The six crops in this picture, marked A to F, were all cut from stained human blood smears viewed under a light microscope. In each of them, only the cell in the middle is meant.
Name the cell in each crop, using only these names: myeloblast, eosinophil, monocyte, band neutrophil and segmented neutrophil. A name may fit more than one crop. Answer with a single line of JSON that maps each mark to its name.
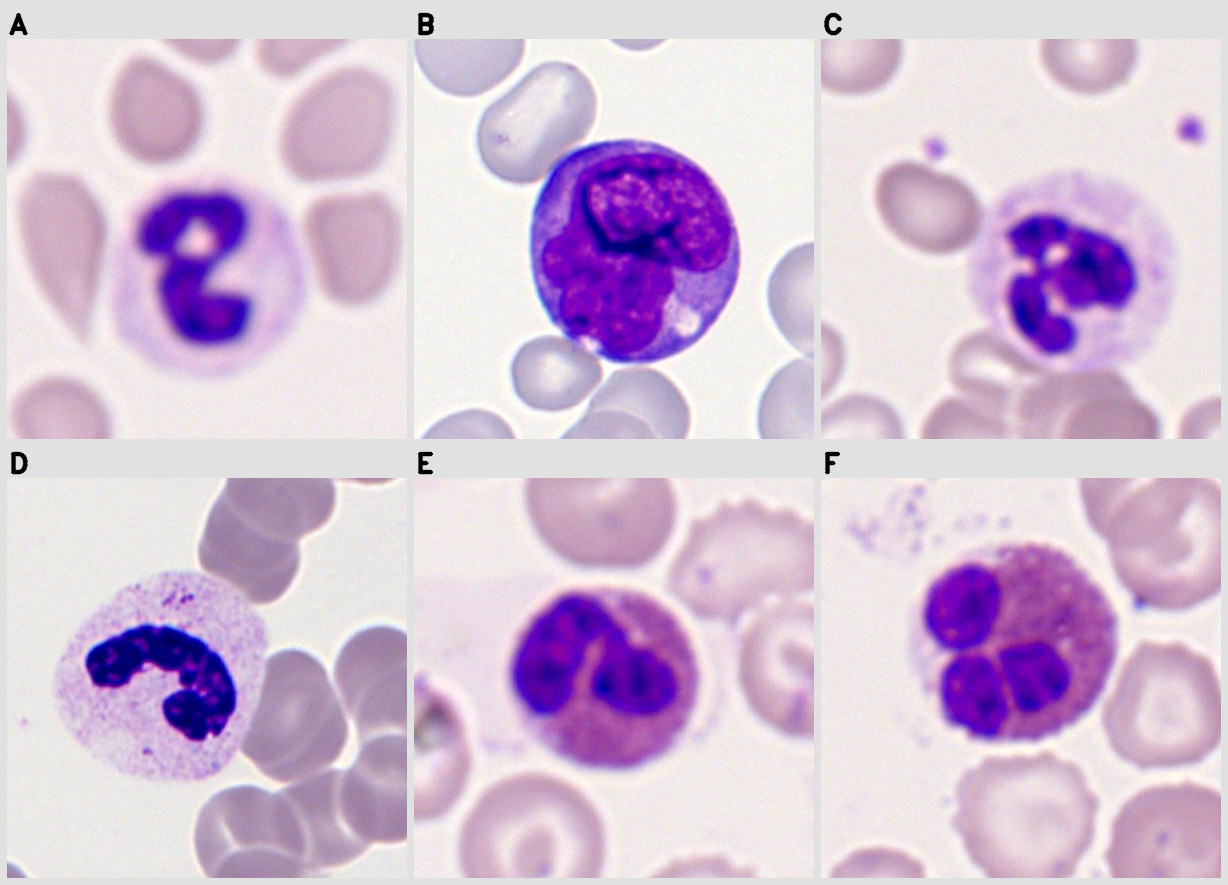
{"A": "segmented neutrophil", "B": "myeloblast", "C": "segmented neutrophil", "D": "band neutrophil", "E": "eosinophil", "F": "eosinophil"}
